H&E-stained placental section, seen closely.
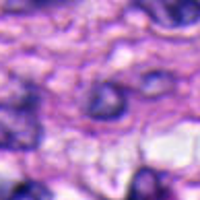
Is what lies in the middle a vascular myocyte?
Yes, it is a vascular myocyte.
